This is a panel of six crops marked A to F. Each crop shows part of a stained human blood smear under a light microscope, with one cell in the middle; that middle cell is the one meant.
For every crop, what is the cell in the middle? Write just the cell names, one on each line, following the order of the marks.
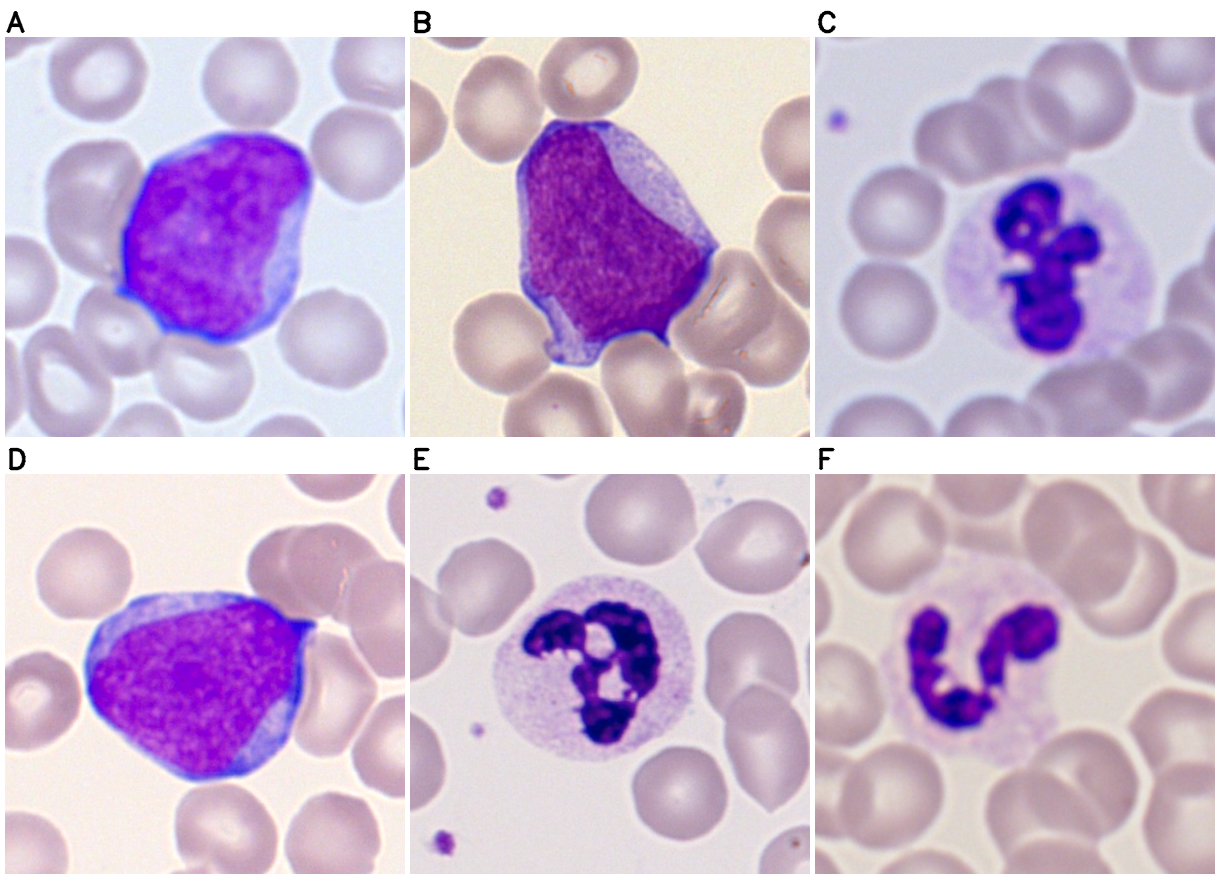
blast
blast
neutrophil
blast
neutrophil
neutrophil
